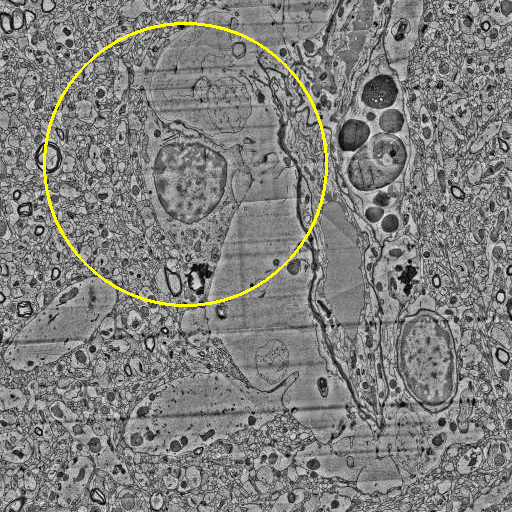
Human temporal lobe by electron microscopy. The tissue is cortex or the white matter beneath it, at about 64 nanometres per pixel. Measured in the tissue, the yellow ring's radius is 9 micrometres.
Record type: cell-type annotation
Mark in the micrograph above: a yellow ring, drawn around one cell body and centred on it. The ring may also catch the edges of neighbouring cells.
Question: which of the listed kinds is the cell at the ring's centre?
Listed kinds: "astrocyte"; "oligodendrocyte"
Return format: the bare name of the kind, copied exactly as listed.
oligodendrocyte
